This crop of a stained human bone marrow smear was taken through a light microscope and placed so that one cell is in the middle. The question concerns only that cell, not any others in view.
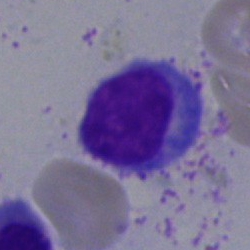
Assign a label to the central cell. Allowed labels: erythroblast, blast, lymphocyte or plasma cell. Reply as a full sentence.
Answering briefly, the cell in the middle is a lymphocyte.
